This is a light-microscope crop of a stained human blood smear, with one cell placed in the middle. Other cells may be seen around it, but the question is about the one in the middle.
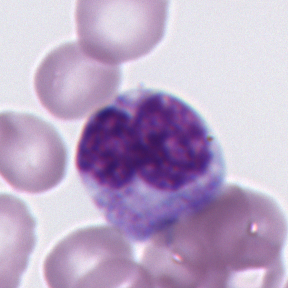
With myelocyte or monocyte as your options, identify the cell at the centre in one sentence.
For this crop, the cell in the middle is a monocyte.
